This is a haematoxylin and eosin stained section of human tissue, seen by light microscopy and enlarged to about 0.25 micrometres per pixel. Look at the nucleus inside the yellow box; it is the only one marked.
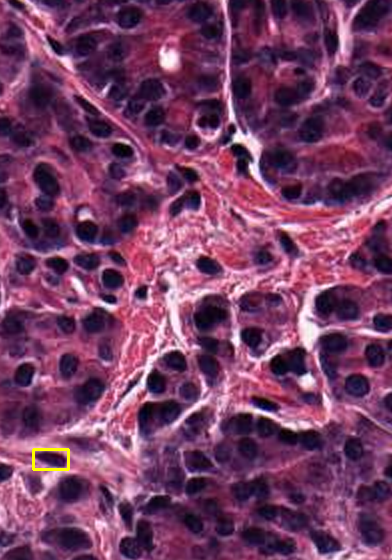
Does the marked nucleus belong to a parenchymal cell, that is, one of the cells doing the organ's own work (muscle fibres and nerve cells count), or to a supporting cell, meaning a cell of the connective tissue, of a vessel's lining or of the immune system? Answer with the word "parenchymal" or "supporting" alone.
supporting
